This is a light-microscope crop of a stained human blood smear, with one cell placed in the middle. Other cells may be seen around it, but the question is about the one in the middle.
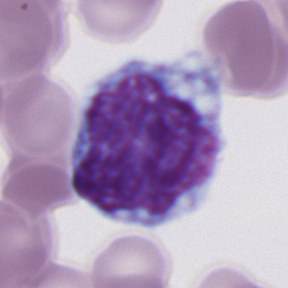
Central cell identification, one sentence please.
Centred in the crop is a monocyte.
